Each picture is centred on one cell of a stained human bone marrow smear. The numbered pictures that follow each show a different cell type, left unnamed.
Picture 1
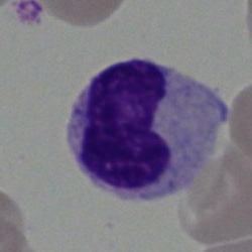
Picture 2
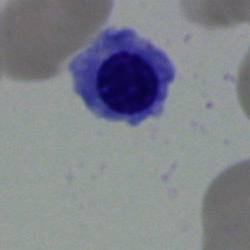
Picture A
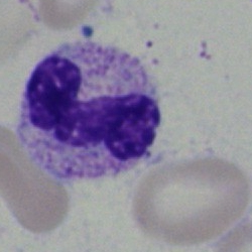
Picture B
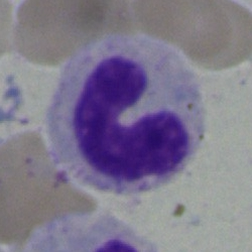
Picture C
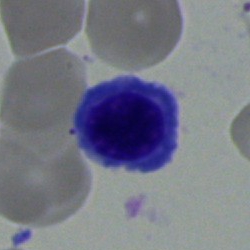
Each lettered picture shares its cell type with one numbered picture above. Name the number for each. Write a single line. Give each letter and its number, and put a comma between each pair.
A 1, B 1, C 2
